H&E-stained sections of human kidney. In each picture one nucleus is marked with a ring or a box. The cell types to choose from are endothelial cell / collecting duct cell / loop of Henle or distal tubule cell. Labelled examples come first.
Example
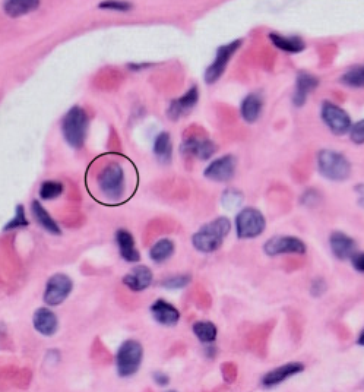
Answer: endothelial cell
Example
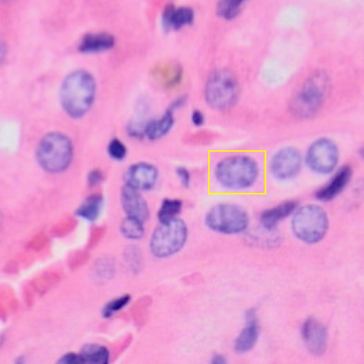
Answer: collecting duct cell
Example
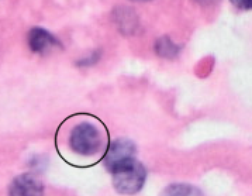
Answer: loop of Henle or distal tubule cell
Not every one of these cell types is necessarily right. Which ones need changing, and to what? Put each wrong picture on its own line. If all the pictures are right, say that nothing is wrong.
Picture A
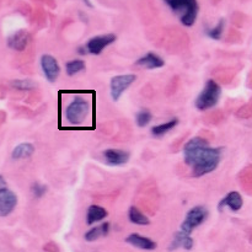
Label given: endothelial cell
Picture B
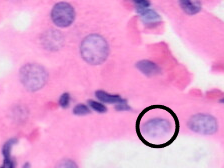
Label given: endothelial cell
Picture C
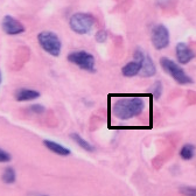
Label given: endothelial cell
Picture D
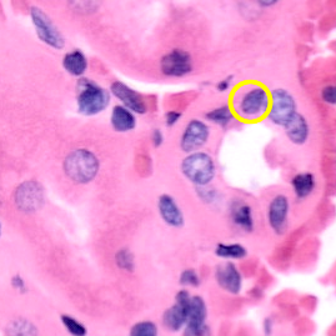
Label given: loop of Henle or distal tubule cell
B: loop of Henle or distal tubule cell, not endothelial cell
D: collecting duct cell, not loop of Henle or distal tubule cell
